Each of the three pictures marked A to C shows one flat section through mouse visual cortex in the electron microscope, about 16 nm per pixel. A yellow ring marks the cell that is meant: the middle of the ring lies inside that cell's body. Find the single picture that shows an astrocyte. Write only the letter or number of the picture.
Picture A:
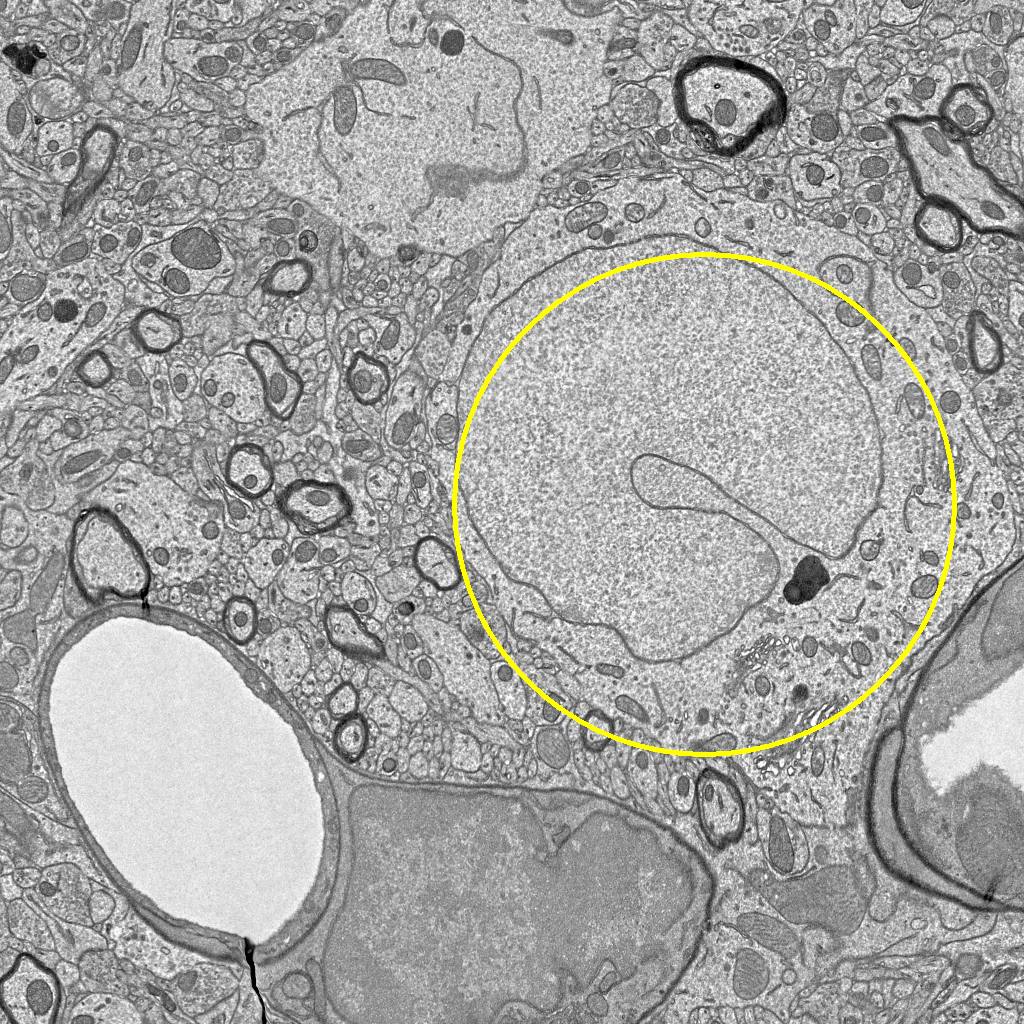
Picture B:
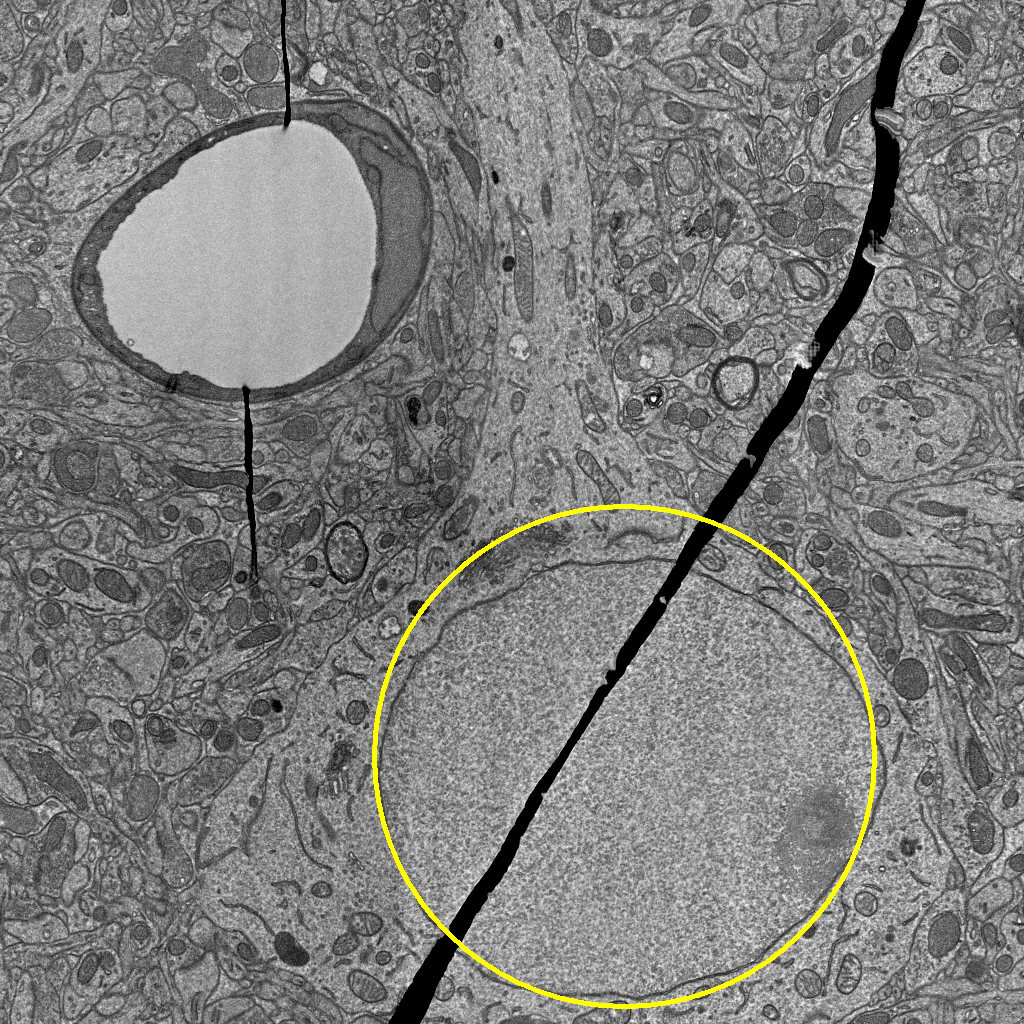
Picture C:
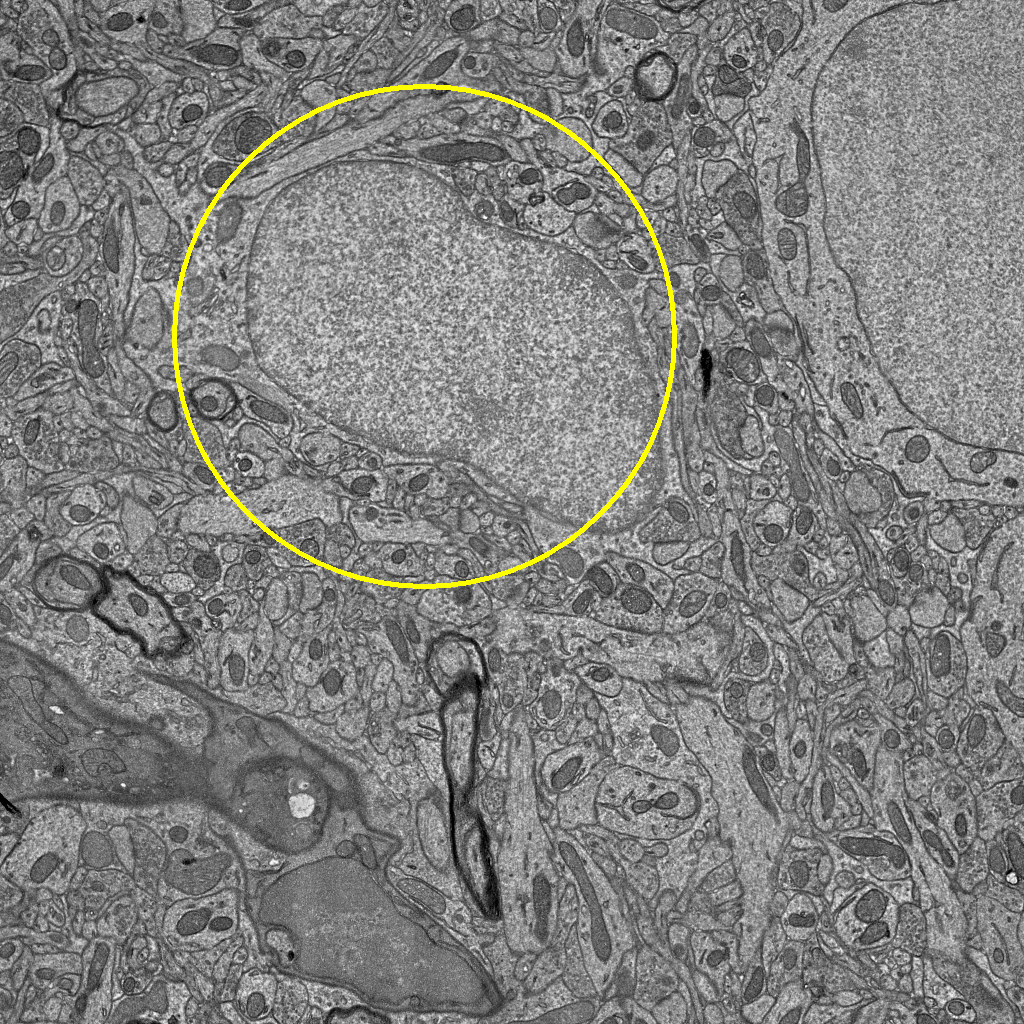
C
